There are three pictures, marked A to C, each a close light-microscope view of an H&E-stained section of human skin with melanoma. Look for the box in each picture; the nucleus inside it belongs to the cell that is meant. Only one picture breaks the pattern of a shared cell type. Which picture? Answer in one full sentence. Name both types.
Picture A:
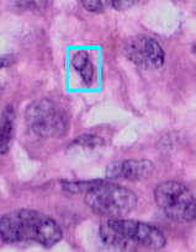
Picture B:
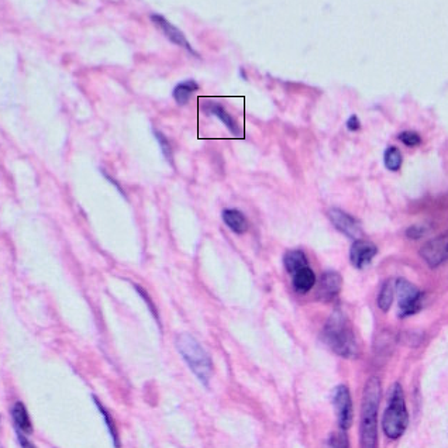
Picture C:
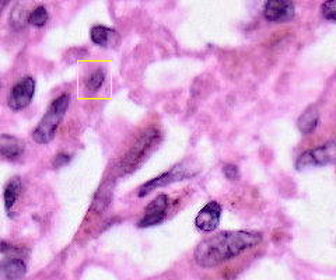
All pictures except B show “macrophages or monocytes”; picture B shows a “fibroblast or myofibroblast”.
